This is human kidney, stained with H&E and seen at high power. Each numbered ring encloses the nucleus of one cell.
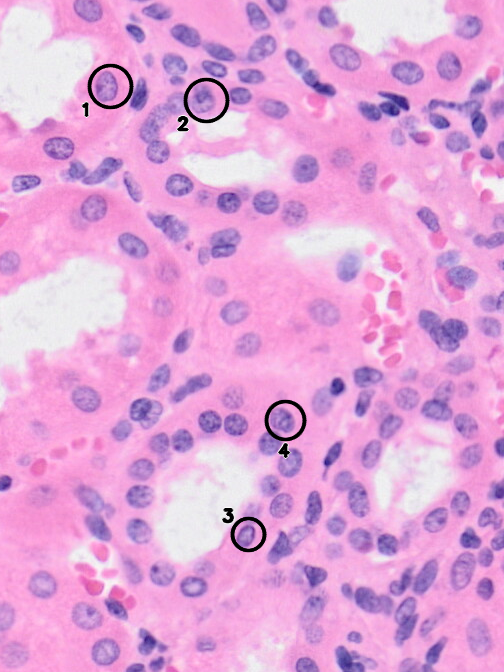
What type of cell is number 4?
collecting duct cell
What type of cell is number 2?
collecting duct cell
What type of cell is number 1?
proximal tubule cell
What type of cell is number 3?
collecting duct cell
